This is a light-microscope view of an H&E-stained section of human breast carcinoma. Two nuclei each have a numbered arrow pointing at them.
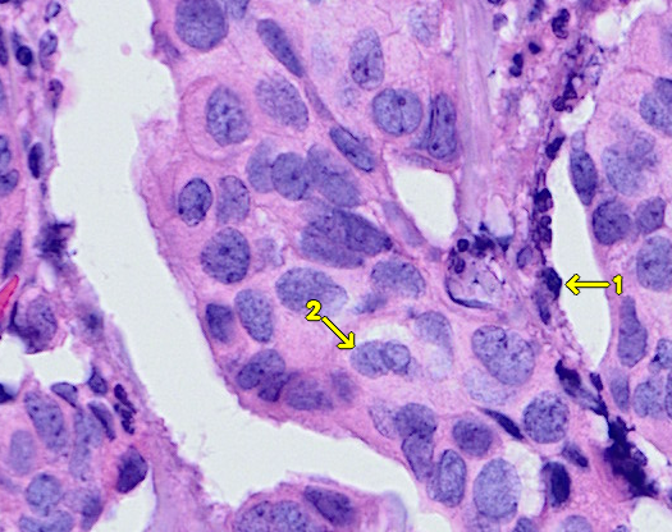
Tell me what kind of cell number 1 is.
lymphocyte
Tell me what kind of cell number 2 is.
carcinoma cell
